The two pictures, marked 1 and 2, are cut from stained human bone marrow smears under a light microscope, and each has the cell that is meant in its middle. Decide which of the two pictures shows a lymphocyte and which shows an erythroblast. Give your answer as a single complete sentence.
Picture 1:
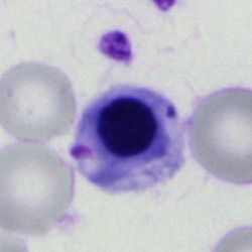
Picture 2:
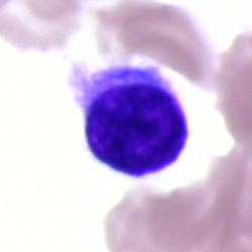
Picture 1 is of an erythroblast, and picture 2 is of a lymphocyte.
